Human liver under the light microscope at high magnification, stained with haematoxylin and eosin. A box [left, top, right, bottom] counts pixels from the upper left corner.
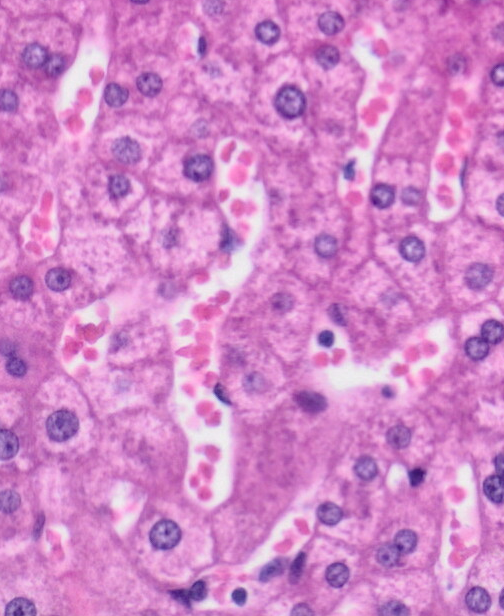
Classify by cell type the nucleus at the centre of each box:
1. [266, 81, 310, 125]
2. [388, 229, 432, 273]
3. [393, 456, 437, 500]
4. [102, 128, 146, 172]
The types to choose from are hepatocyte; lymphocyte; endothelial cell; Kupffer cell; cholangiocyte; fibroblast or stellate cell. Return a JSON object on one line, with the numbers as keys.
{"1": "hepatocyte", "2": "hepatocyte", "3": "fibroblast or stellate cell", "4": "hepatocyte"}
